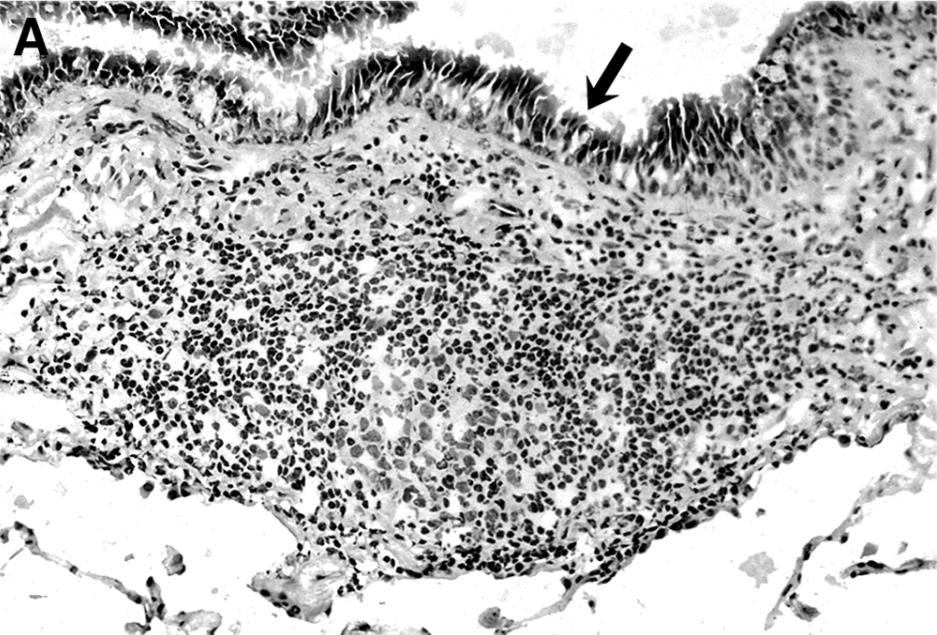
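This is the wall of a bronchus with a lymphoid follicle in the submucosa. Along the top, a lumen is lined by bronchial epithelium: a layer of tall columnar cells with crowded, elongated dark nuclei standing perpendicular to the surface. Beneath a thin band of connective tissue lies a large, dense, rounded collection of small lymphoid cells with round, dark-staining nuclei and scant cytoplasm, packed closely together.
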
